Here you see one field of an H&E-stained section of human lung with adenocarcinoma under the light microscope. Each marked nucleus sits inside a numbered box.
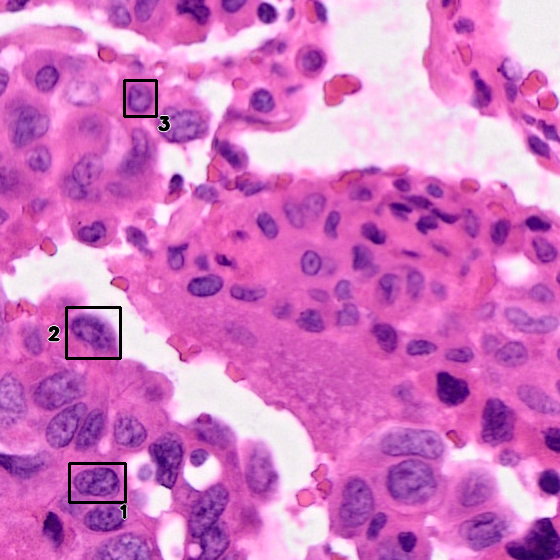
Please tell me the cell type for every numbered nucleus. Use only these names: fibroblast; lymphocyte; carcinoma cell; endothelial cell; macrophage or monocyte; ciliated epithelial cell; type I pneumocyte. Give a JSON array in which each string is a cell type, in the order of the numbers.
["carcinoma cell", "carcinoma cell", "macrophage or monocyte"]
